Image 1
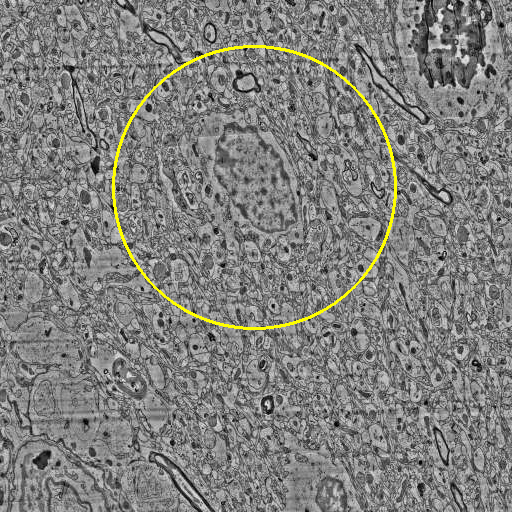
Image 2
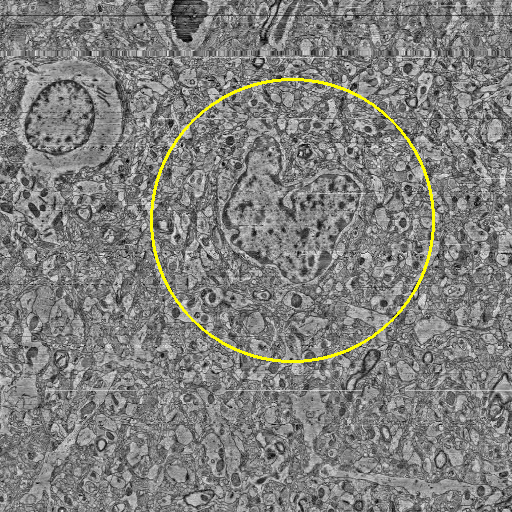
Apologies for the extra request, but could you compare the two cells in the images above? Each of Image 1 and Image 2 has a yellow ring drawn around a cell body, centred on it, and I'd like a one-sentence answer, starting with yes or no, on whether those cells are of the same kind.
Yes, both cells are of the same kind.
